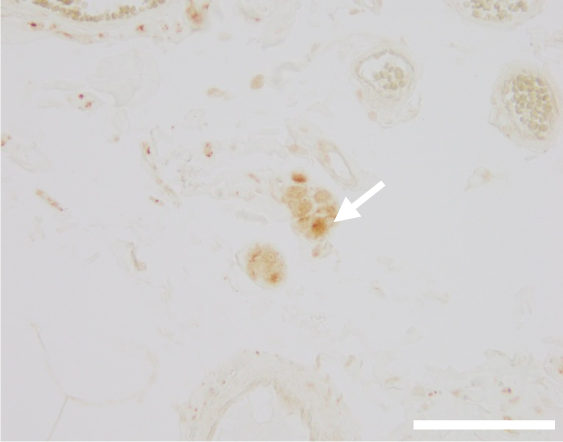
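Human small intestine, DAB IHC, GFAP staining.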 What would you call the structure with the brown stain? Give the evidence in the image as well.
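Small round clusters of cells are stained brown. They lie in loose connective tissue near vessel profiles.
Hence: submucosal ganglia.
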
